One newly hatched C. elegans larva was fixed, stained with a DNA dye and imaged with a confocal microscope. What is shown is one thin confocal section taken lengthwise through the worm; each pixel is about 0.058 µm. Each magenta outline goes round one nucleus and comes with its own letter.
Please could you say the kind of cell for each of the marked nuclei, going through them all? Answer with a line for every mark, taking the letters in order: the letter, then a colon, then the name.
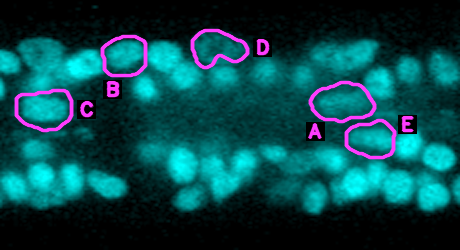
A: pharyngeal marginal cell
B: neuron
C: neuron
D: hypodermal cell (hyp)
E: pharyngeal marginal cell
